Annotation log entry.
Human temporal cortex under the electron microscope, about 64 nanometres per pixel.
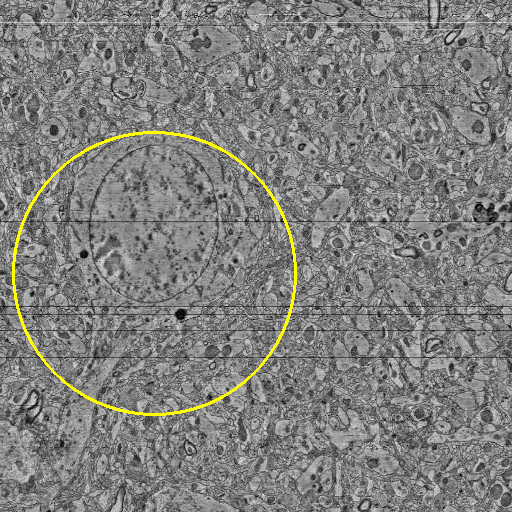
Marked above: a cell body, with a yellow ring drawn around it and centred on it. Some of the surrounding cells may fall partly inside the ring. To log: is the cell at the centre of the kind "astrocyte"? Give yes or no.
No, the cell at the centre is of another kind.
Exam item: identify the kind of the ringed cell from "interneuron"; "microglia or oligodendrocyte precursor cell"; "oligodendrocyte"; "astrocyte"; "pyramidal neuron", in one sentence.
Sitting at the ring centre is a pyramidal neuron.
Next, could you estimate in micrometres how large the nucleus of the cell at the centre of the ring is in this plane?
In this plane, the nucleus of the cell at the centre of the ring measures about 11 by 9 micrometres.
